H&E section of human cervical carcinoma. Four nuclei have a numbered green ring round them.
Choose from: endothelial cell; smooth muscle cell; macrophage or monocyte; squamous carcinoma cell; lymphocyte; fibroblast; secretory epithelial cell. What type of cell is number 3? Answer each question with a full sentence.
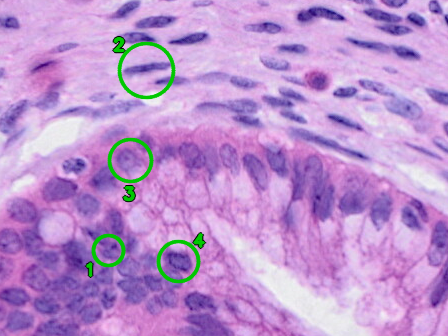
Cell number 3 in this section is a secretory epithelial cell.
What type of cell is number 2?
The expected answer is that cell 2 is a fibroblast.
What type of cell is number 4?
In this section, the cell numbered 4 is a secretory epithelial cell.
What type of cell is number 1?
The cell bearing label 1 corresponds to a secretory epithelial cell.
